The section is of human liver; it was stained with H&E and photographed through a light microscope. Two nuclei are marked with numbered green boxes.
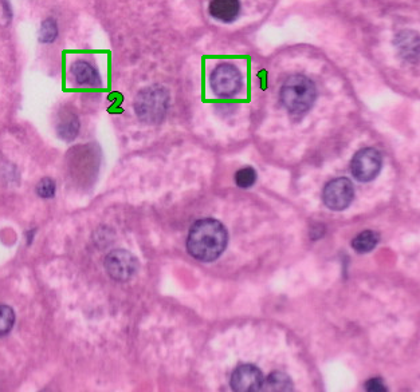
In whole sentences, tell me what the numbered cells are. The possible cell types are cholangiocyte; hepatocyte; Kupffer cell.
Cell 1 is a hepatocyte and cell 2 is a Kupffer cell.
